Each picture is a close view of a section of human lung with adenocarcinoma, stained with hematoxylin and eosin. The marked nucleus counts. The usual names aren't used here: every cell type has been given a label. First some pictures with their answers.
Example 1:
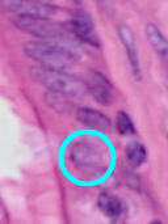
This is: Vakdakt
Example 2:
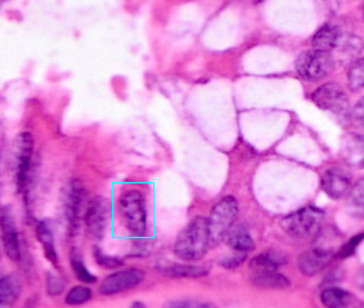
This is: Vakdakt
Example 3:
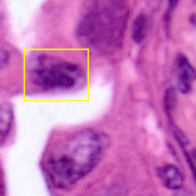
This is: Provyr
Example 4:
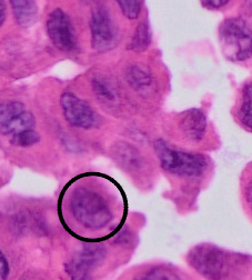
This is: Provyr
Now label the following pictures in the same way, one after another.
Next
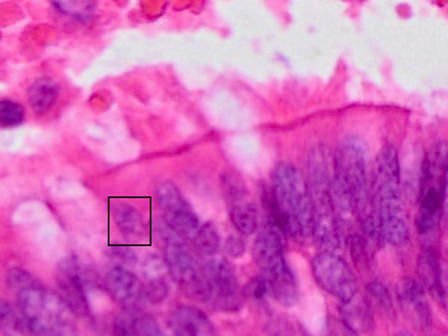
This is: Vakdakt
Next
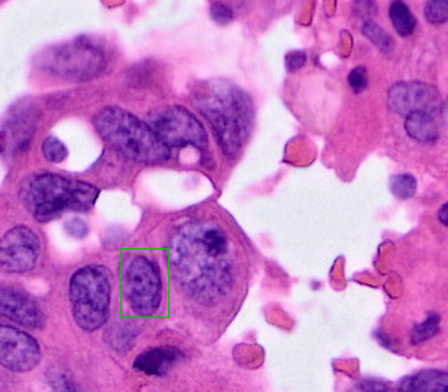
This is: Provyr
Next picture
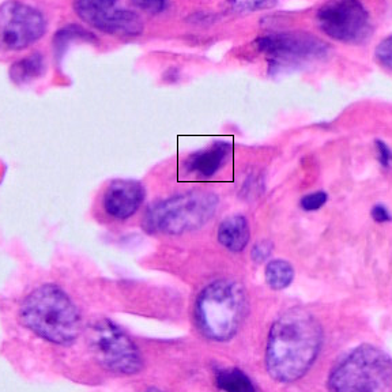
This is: Provyr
